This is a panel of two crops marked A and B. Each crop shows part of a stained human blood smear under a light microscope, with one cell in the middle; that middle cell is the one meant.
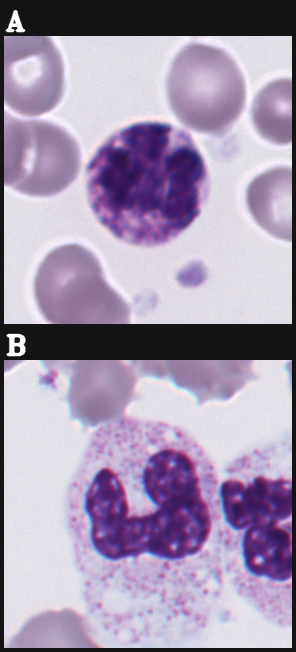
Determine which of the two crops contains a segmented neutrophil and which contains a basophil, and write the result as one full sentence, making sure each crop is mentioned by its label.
As for the pair, crop A is a basophil and crop B is a segmented neutrophil.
